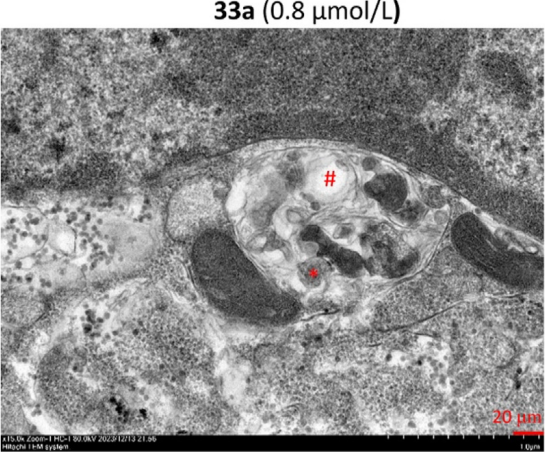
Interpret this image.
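The upper part of the field is dark and densely granular. In the centre, a large membrane-bounded compartment encloses a pale rounded space, several dark elongated electron-dense bodies and fragments of membrane, together with a small rounded membrane-bound body. Beside this compartment, outside it, lie dark elongated organelles with dense matrix. The surrounding cytoplasm is granular with scattered small dark particles.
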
